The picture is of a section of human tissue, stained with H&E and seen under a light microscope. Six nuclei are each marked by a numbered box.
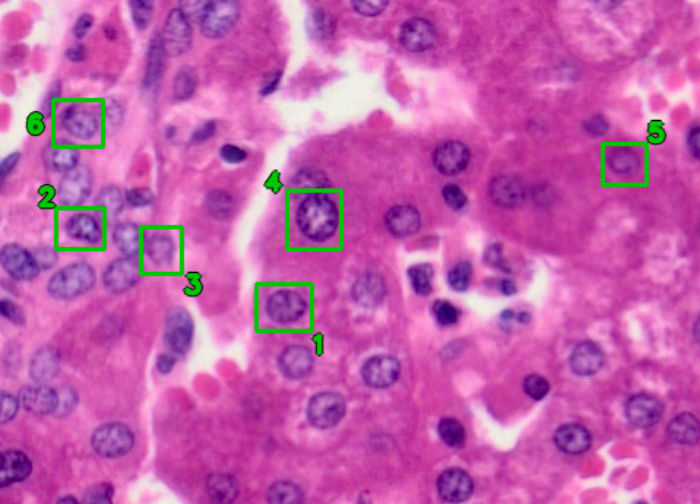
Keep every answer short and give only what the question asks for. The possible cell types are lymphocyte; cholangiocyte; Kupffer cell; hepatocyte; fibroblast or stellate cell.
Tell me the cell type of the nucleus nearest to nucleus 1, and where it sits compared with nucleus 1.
a hepatocyte, below nucleus 1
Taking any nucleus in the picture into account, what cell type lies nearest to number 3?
cholangiocyte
